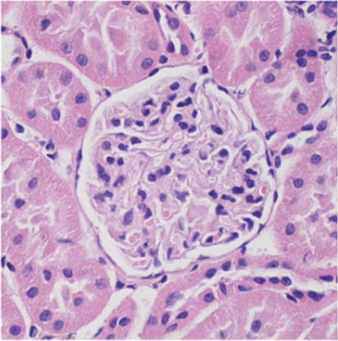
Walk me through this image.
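A glomerulus of the renal cortex sits in the centre, a rounded tuft of capillary loops packed with small dark purple nuclei. The tuft is bounded by a thin capsule, with a narrow clear space between tuft and capsule. Around it lie cross-sectioned tubules lined by cuboidal cells with pink granular cytoplasm and round, centrally placed nuclei. The tubular lumina are narrow and irregular, and the tubules lie close together with little tissue between them.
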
